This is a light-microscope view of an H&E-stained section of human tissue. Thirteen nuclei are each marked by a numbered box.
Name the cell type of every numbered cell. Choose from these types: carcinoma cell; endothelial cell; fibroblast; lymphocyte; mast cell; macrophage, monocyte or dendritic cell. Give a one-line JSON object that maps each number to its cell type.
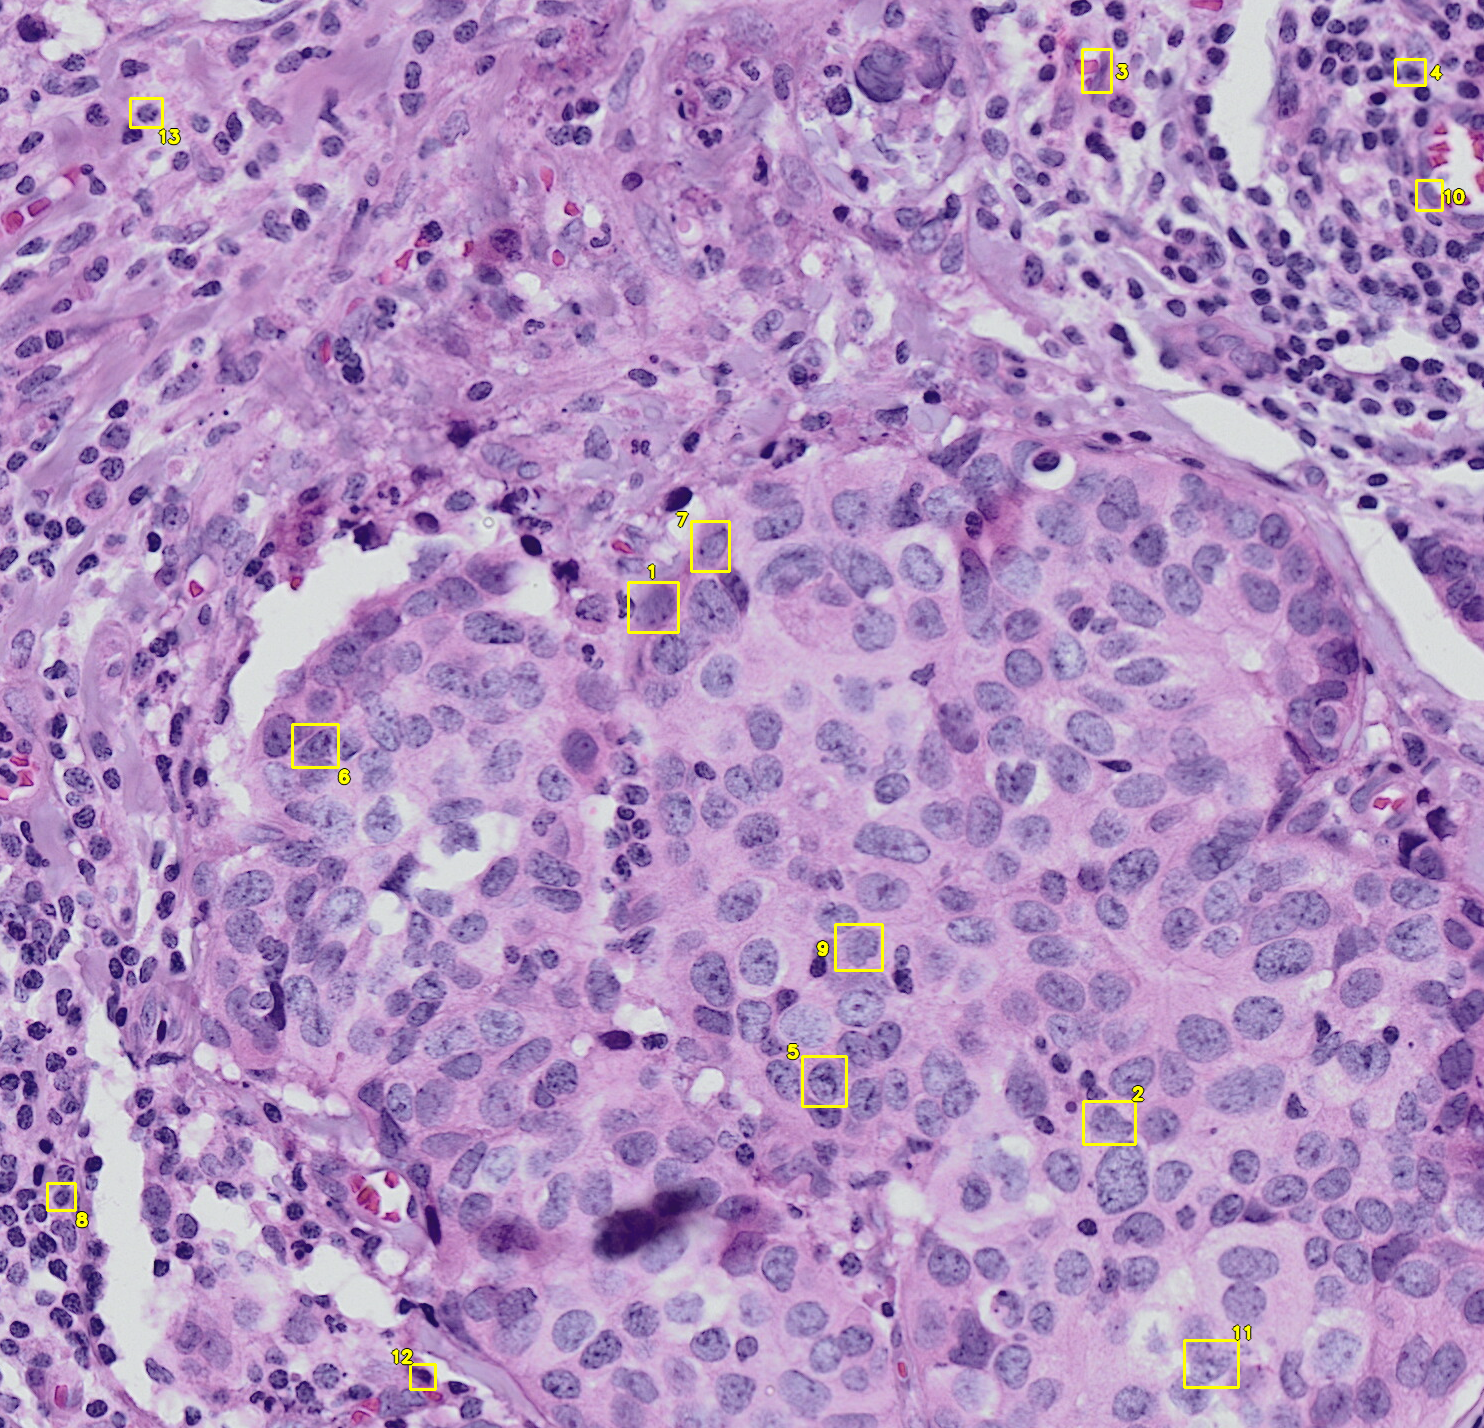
{"1": "carcinoma cell", "2": "carcinoma cell", "3": "endothelial cell", "4": "lymphocyte", "5": "carcinoma cell", "6": "carcinoma cell", "7": "carcinoma cell", "8": "lymphocyte", "9": "carcinoma cell", "10": "endothelial cell", "11": "carcinoma cell", "12": "endothelial cell", "13": "lymphocyte"}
